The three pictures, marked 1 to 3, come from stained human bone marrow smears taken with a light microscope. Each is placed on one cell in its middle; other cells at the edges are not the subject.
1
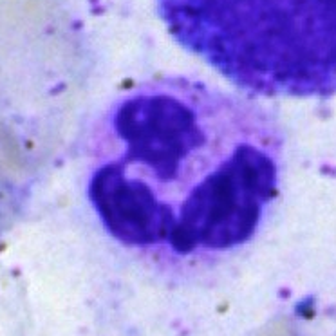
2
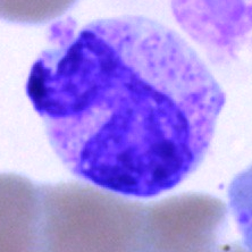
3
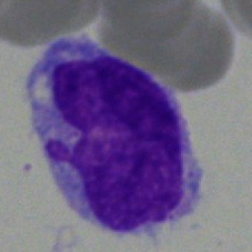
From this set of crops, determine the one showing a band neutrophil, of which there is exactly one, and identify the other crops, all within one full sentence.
In crop 2 one sees a band neutrophil, while crop 1 is a segmented neutrophil and crop 3 is a monocyte.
